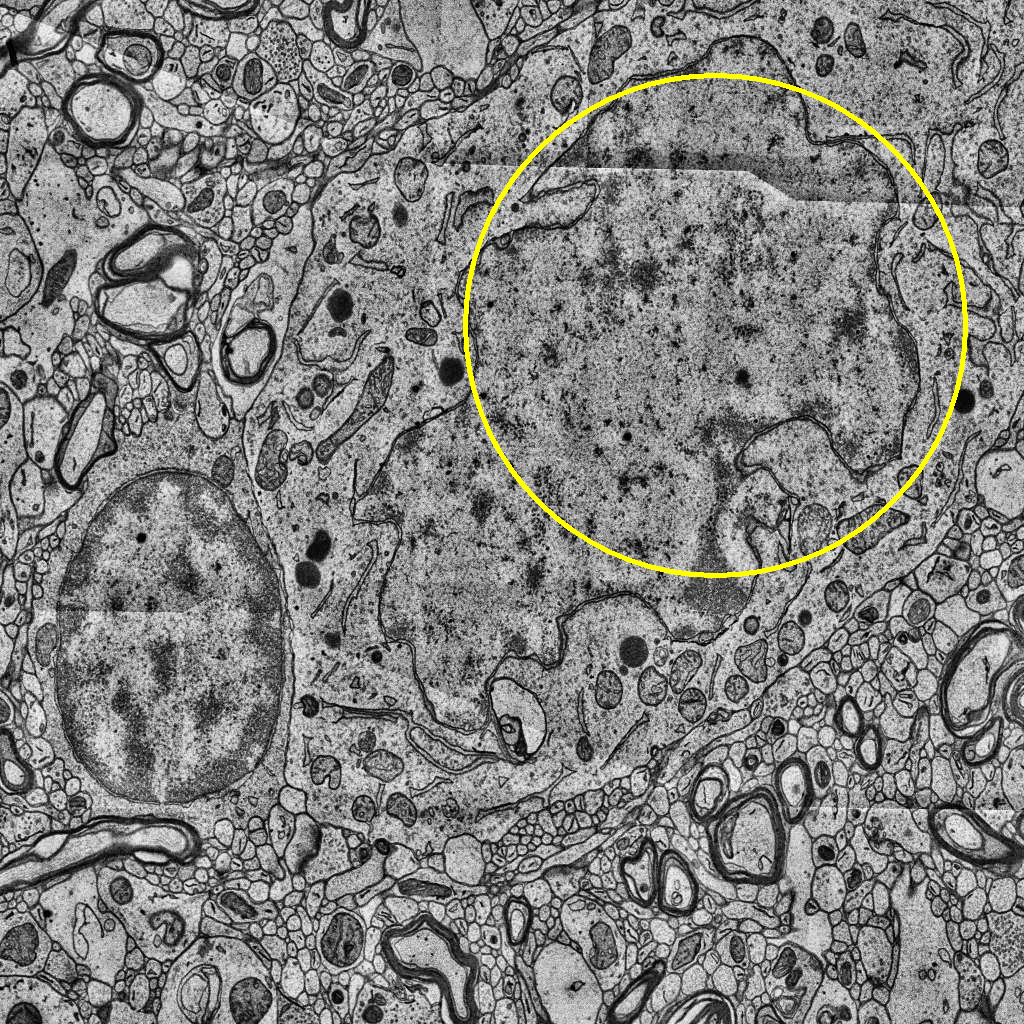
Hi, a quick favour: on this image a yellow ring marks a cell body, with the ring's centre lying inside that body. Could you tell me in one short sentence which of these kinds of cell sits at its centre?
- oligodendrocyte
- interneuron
The ring's centre lies in an interneuron.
